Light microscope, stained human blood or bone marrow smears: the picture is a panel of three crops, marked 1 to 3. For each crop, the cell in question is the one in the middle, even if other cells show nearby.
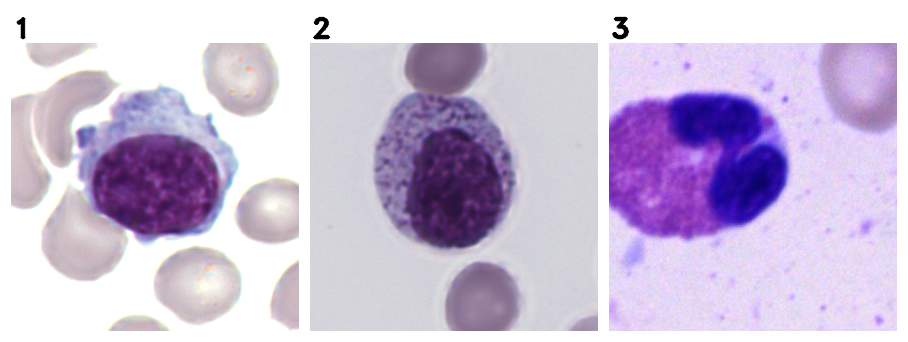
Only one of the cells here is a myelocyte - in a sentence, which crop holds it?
The crop that shows a myelocyte is crop 2.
